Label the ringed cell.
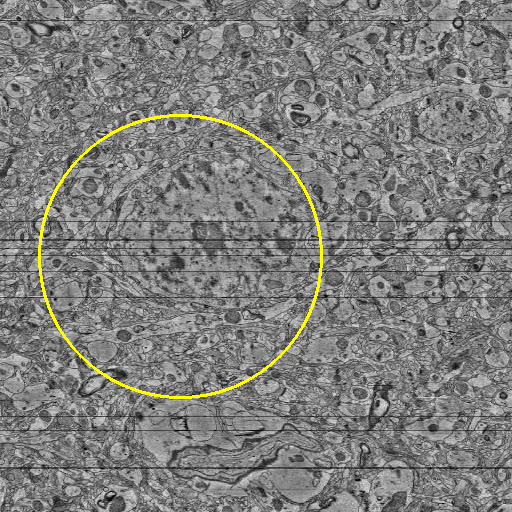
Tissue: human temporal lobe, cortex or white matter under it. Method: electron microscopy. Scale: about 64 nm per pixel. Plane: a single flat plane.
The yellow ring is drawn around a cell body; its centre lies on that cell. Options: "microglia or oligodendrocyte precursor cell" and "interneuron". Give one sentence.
The ringed cell is an interneuron.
